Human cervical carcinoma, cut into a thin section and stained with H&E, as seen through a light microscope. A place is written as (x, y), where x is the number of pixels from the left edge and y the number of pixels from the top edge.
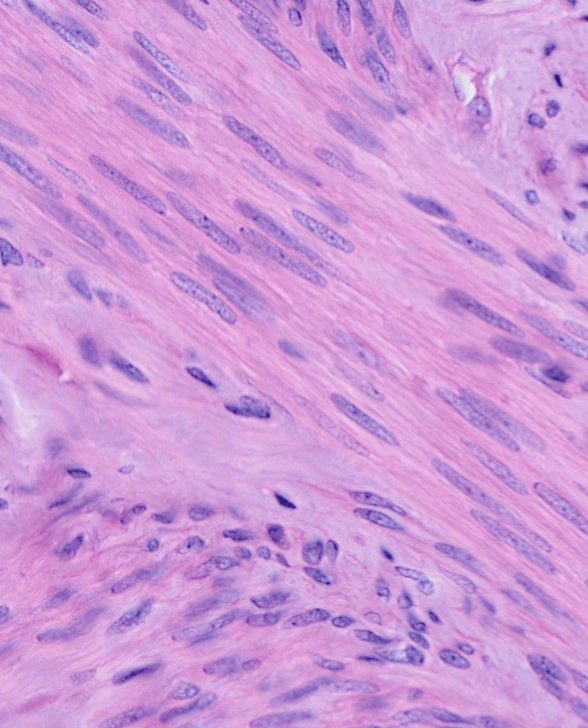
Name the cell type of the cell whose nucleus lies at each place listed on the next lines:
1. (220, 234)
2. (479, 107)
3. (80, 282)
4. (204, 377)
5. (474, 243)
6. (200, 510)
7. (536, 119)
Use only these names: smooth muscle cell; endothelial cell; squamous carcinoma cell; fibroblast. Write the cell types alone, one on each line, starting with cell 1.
smooth muscle cell
endothelial cell
fibroblast
fibroblast
fibroblast
smooth muscle cell
smooth muscle cell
